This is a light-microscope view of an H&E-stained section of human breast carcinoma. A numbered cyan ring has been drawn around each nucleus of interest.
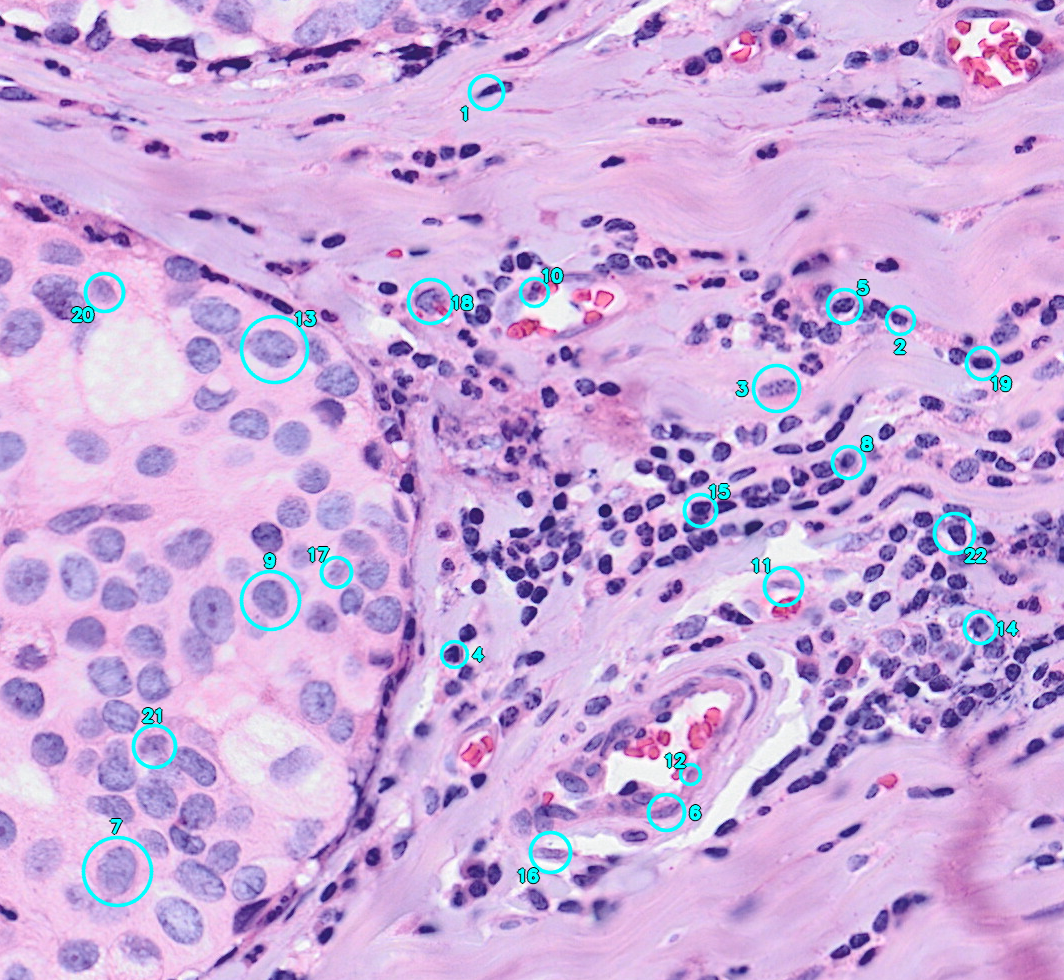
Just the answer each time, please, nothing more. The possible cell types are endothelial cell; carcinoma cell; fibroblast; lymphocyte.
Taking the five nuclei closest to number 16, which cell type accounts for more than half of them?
endothelial cell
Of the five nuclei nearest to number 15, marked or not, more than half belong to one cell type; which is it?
lymphocyte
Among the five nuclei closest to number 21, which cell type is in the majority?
carcinoma cell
